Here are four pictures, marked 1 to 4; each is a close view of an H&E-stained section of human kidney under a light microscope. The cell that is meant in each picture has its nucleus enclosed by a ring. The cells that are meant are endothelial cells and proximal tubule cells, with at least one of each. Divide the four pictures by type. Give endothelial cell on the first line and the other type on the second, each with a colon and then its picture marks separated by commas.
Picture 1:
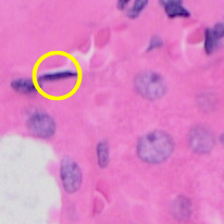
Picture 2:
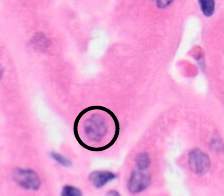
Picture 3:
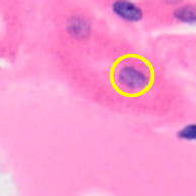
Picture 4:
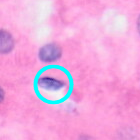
endothelial cell: 1, 4
proximal tubule cell: 2, 3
